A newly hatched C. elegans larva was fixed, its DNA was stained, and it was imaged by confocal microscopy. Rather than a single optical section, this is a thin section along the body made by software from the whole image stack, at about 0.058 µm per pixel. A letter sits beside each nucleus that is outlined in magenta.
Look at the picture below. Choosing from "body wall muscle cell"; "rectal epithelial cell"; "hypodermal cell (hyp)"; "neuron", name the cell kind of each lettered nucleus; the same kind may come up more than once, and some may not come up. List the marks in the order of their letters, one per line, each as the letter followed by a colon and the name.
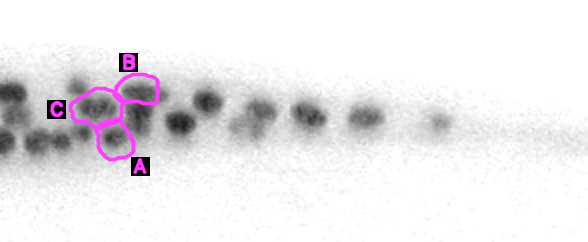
A: neuron
B: body wall muscle cell
C: rectal epithelial cell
